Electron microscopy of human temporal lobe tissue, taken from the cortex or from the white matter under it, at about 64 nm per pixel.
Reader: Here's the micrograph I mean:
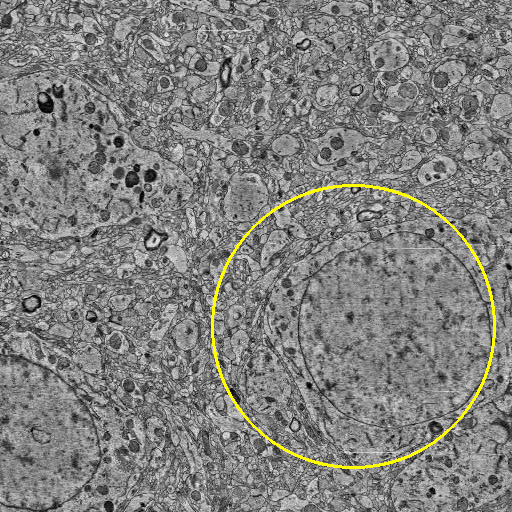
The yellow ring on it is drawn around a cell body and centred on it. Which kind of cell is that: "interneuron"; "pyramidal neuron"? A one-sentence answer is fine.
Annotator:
The ring is centred on a pyramidal neuron.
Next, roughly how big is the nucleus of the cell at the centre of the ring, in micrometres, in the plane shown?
About 13 micrometres across in this plane.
